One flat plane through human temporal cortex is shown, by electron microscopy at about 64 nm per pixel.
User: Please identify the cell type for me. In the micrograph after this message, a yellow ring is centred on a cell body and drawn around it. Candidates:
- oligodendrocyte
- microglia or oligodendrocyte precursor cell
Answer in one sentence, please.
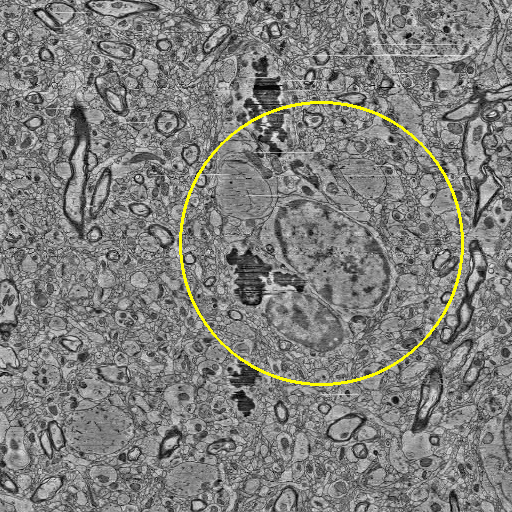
The ring is drawn around the cell body of a microglial cell or oligodendrocyte precursor cell.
